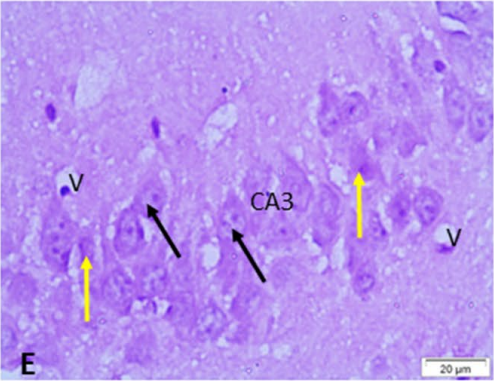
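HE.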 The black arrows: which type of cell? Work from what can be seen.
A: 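The arrows point to large cell bodies with big round pale nuclei. The nuclei hold distinct dark nucleoli.
Neurons with prominent nuclei.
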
